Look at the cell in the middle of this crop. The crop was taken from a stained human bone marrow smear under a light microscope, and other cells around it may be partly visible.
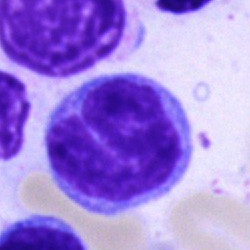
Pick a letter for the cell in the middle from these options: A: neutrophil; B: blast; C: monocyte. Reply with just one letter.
C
